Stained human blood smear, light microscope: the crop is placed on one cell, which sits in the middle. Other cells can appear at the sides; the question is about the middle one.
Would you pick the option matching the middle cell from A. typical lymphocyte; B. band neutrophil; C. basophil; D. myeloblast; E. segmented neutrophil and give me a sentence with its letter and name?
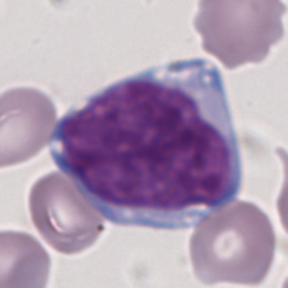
The one cell at the centre is a myeloblast, as correctly stated in option D.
